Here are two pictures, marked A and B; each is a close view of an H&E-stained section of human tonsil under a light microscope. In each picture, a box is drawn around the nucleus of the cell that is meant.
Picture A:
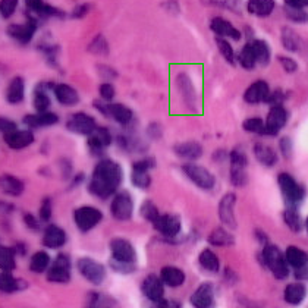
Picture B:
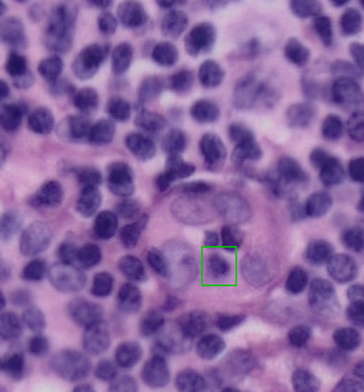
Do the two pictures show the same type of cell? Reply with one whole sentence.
Yes, they are the same type: both are endothelial cells.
